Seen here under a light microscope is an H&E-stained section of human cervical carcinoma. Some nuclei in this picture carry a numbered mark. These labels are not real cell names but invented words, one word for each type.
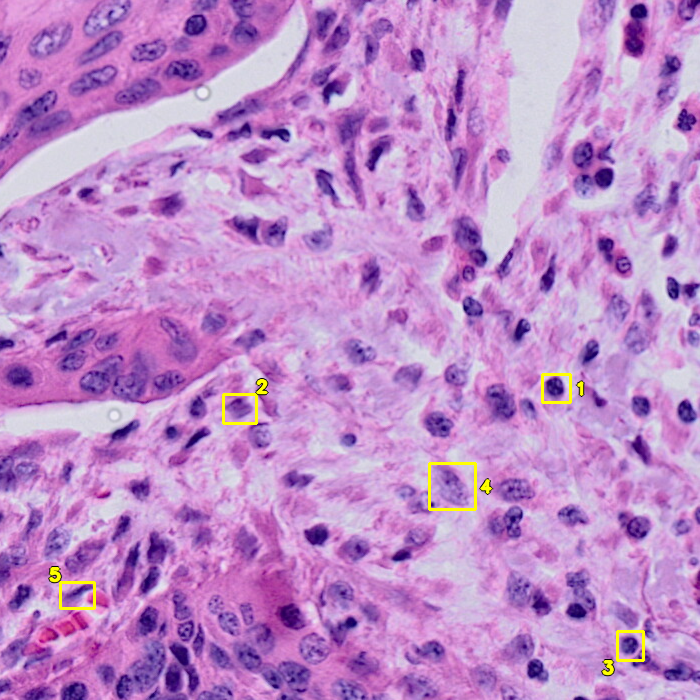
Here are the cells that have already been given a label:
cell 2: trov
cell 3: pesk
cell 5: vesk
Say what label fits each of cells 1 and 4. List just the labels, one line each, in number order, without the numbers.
pesk
trov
